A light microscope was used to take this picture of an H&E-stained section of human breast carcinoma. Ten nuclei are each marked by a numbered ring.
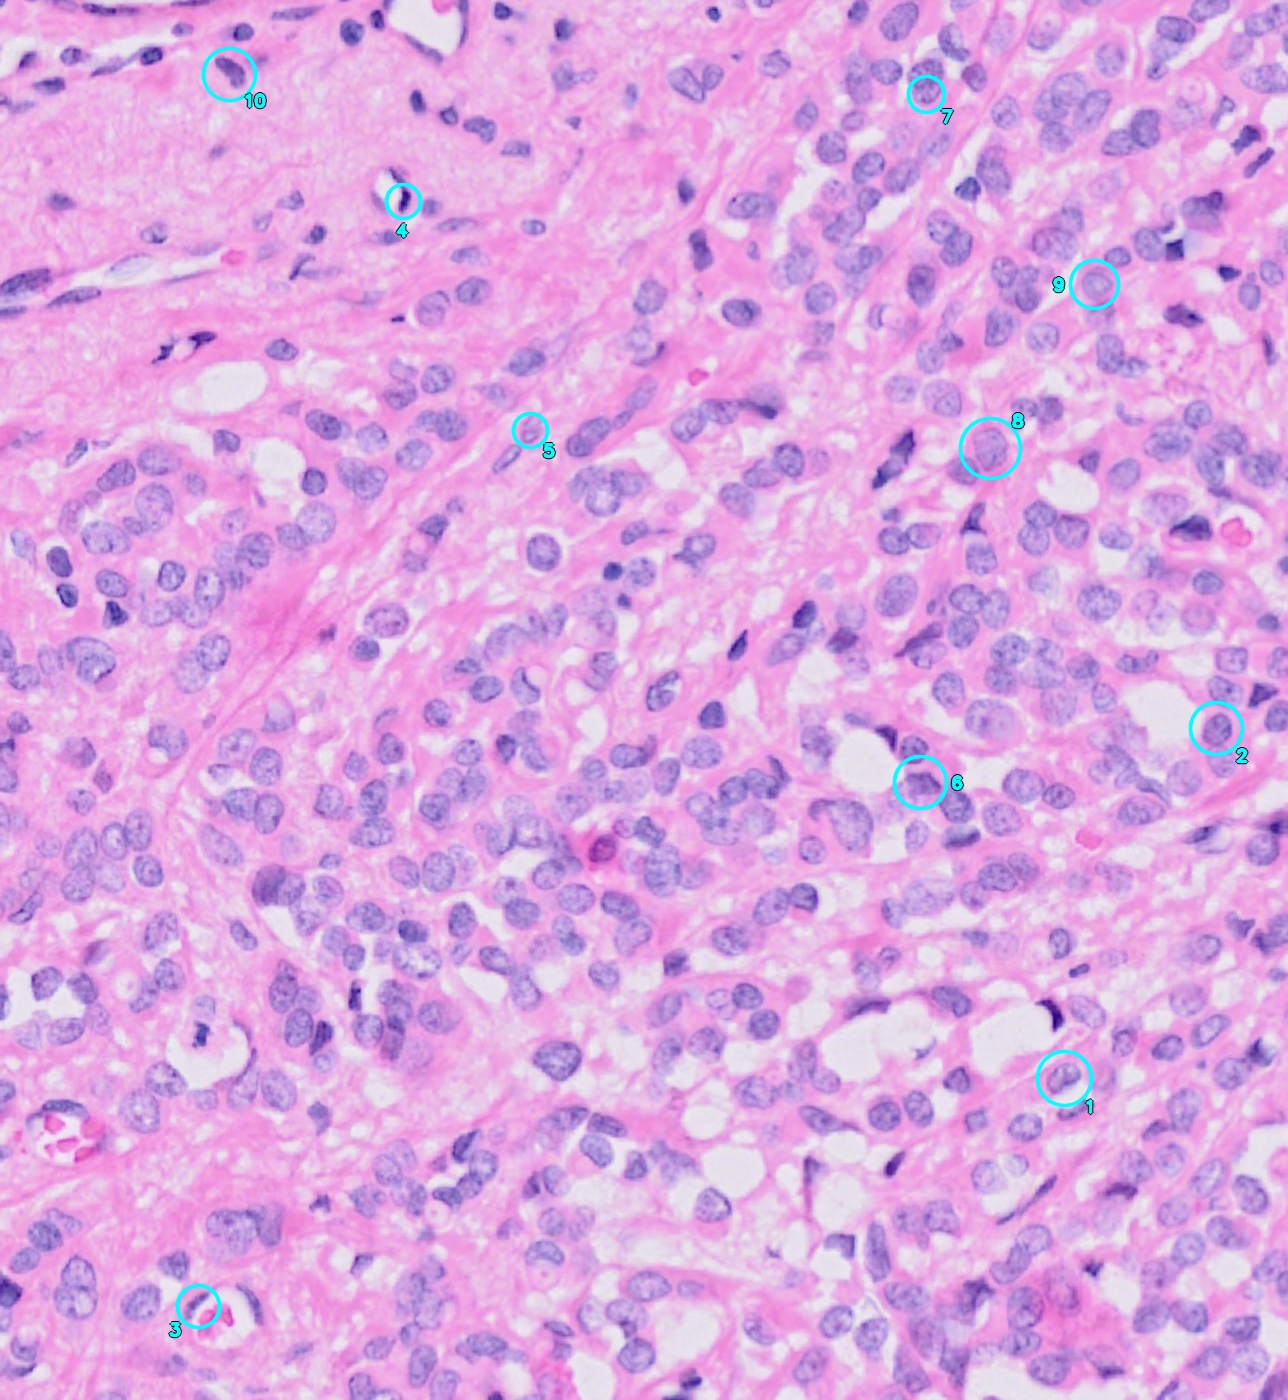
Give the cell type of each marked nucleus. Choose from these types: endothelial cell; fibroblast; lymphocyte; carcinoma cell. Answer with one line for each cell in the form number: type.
1: carcinoma cell
2: carcinoma cell
3: endothelial cell
4: endothelial cell
5: endothelial cell
6: carcinoma cell
7: carcinoma cell
8: carcinoma cell
9: carcinoma cell
10: lymphocyte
